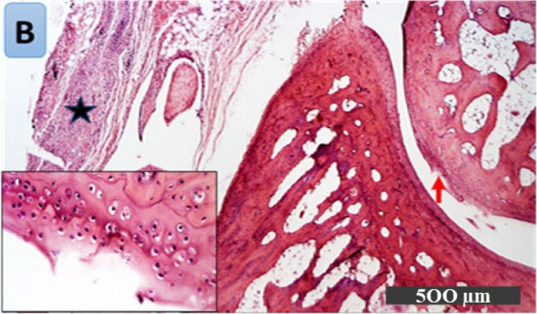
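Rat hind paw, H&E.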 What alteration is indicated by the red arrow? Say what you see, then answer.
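The cartilage surface at the red arrow is uneven rather than smooth. The inset shows a ragged, frayed cartilage surface.
Answer: articular surface erosions and fissures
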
